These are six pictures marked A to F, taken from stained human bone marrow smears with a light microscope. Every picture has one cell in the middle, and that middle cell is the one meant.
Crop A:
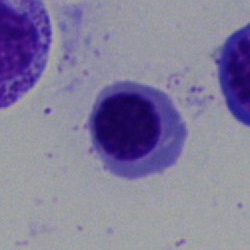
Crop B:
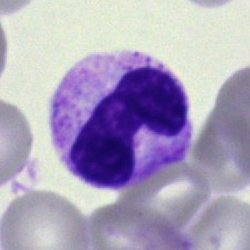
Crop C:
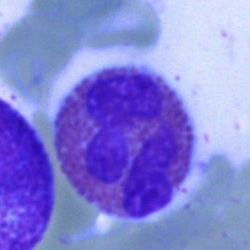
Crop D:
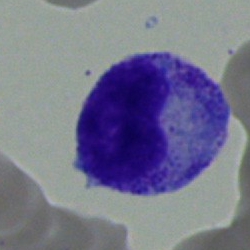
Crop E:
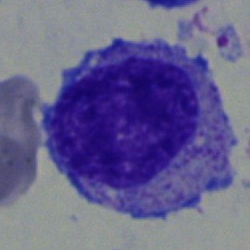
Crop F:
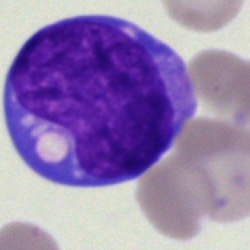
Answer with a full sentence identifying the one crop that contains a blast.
On review of the set, crop F is the one showing a blast.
